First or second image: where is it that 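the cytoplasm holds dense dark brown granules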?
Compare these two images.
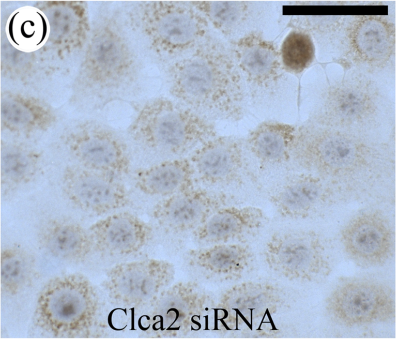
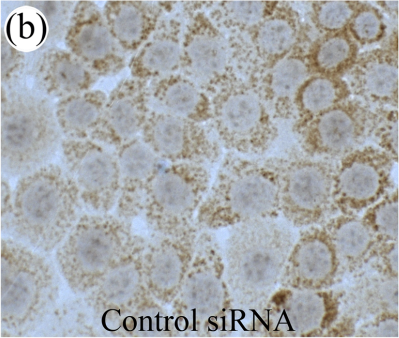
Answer: The second image.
